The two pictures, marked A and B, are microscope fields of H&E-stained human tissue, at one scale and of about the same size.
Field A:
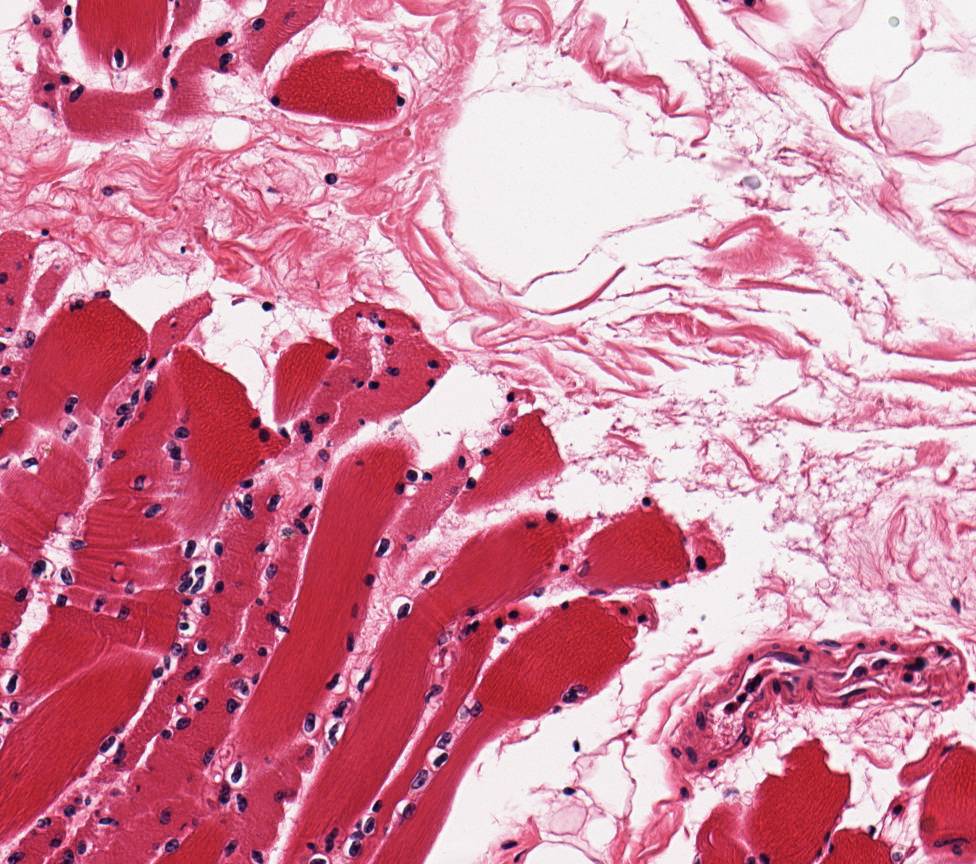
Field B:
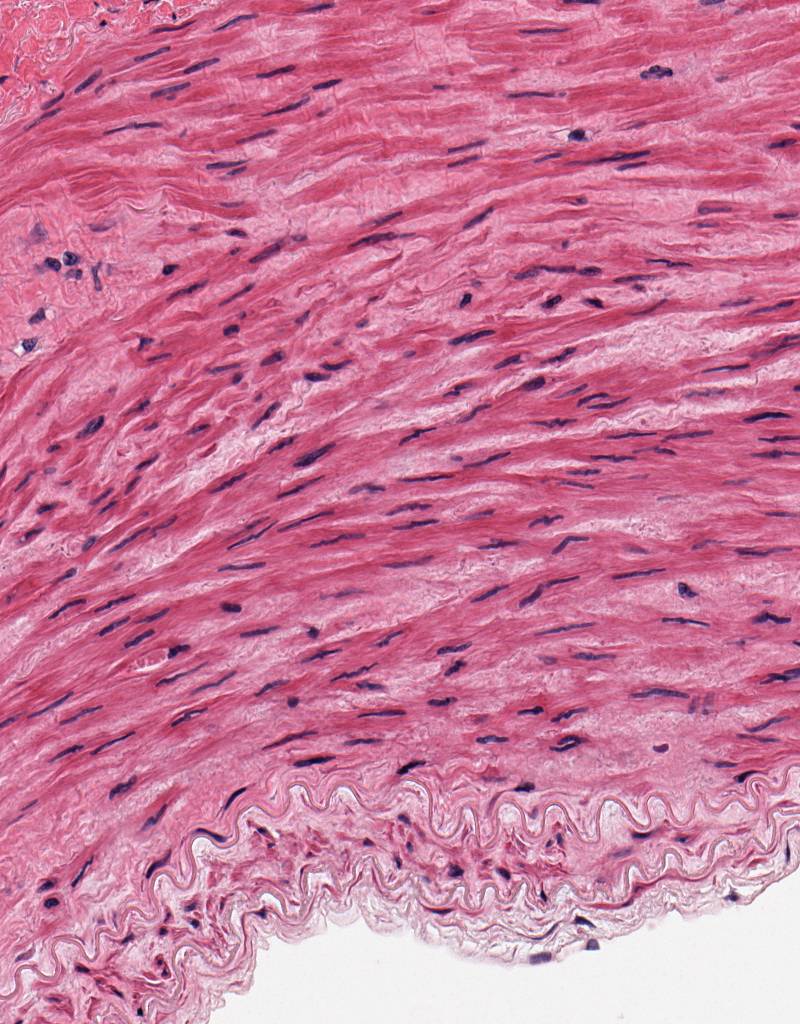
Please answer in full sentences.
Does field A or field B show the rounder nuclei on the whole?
On the whole the nuclei of field A are rounder than those of field B.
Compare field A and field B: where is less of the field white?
It is field B that stained tissue fills more completely.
